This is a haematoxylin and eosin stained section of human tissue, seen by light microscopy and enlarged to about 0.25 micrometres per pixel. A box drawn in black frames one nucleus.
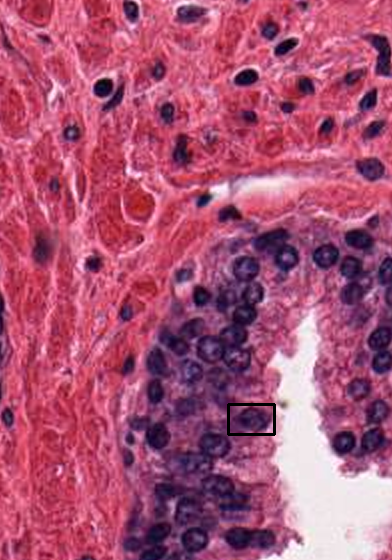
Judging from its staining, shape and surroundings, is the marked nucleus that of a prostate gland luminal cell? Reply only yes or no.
yes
